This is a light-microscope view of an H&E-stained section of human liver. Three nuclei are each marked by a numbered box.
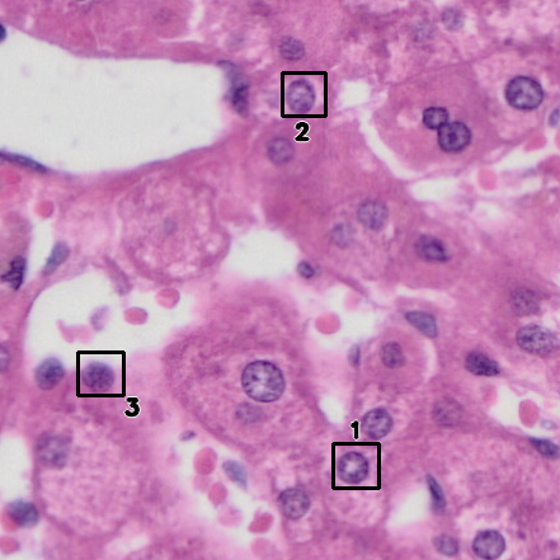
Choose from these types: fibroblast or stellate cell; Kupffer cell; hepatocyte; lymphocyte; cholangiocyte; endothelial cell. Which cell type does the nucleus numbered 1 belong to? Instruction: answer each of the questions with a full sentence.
Number 1 is placed on a hepatocyte here.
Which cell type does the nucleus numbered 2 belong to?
Looking at the numbered marks, cell 2 is a hepatocyte.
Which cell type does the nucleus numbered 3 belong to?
The correct label for cell 3 is an endothelial cell.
